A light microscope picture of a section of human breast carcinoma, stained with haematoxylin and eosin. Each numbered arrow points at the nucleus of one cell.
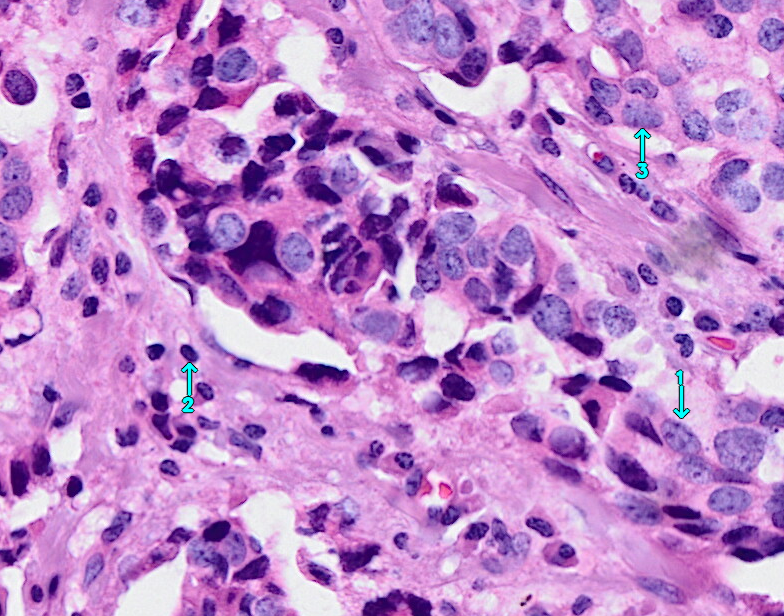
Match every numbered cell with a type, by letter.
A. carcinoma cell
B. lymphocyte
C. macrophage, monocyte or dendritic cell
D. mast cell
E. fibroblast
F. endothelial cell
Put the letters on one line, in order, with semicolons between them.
A; B; A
